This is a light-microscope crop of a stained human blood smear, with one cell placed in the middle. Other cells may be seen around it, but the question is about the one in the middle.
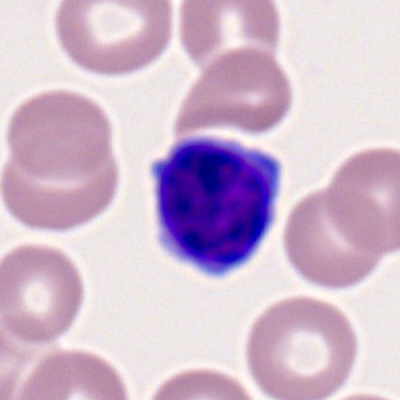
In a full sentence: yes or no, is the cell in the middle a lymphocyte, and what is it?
Yes, the cell that occupies the centre is a lymphocyte.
